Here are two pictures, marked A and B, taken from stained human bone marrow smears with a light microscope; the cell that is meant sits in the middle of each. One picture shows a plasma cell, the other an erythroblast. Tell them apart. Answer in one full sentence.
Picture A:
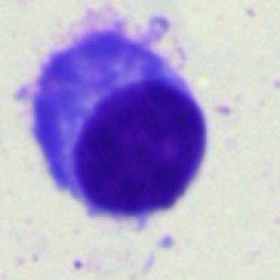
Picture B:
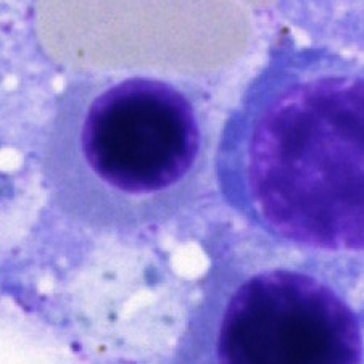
Picture A shows a plasma cell and picture B shows an erythroblast.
